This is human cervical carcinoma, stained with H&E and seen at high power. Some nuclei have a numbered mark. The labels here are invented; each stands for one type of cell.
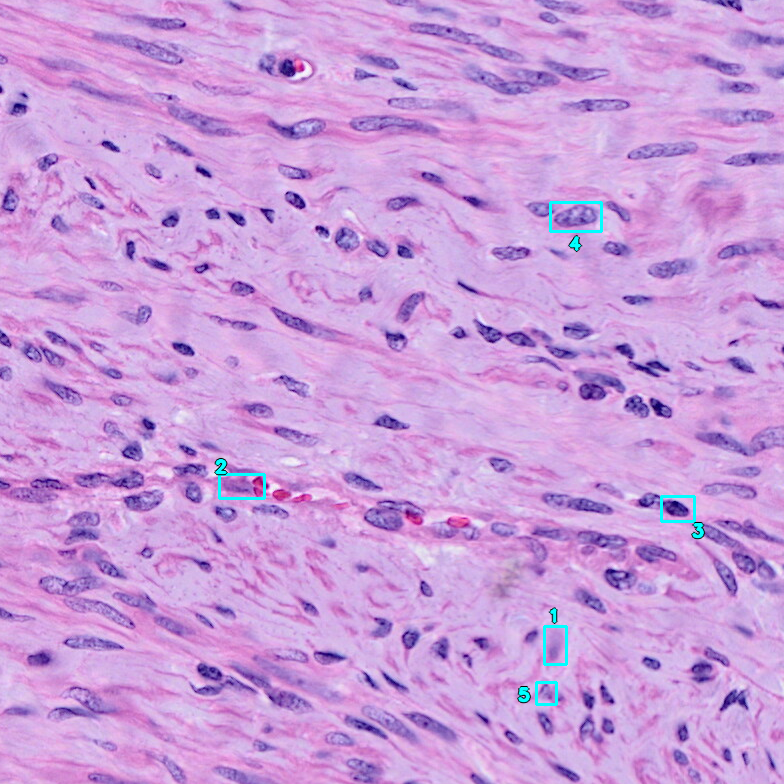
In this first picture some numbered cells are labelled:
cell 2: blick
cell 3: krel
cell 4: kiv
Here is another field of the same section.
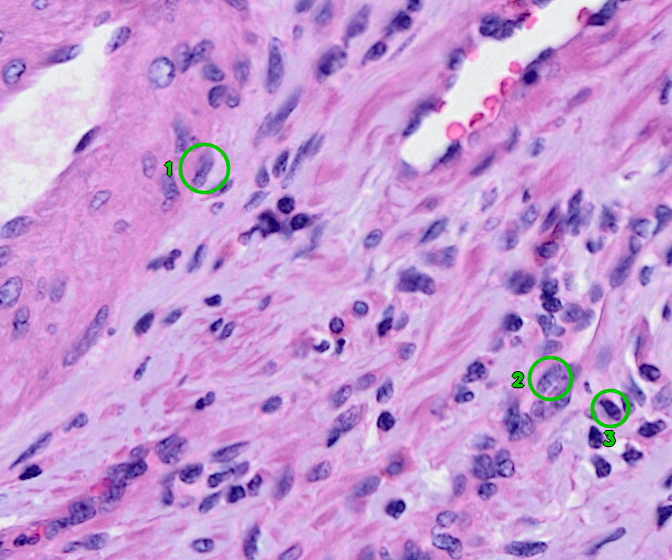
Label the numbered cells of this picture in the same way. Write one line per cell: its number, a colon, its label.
1: kiv
2: blick
3: krel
